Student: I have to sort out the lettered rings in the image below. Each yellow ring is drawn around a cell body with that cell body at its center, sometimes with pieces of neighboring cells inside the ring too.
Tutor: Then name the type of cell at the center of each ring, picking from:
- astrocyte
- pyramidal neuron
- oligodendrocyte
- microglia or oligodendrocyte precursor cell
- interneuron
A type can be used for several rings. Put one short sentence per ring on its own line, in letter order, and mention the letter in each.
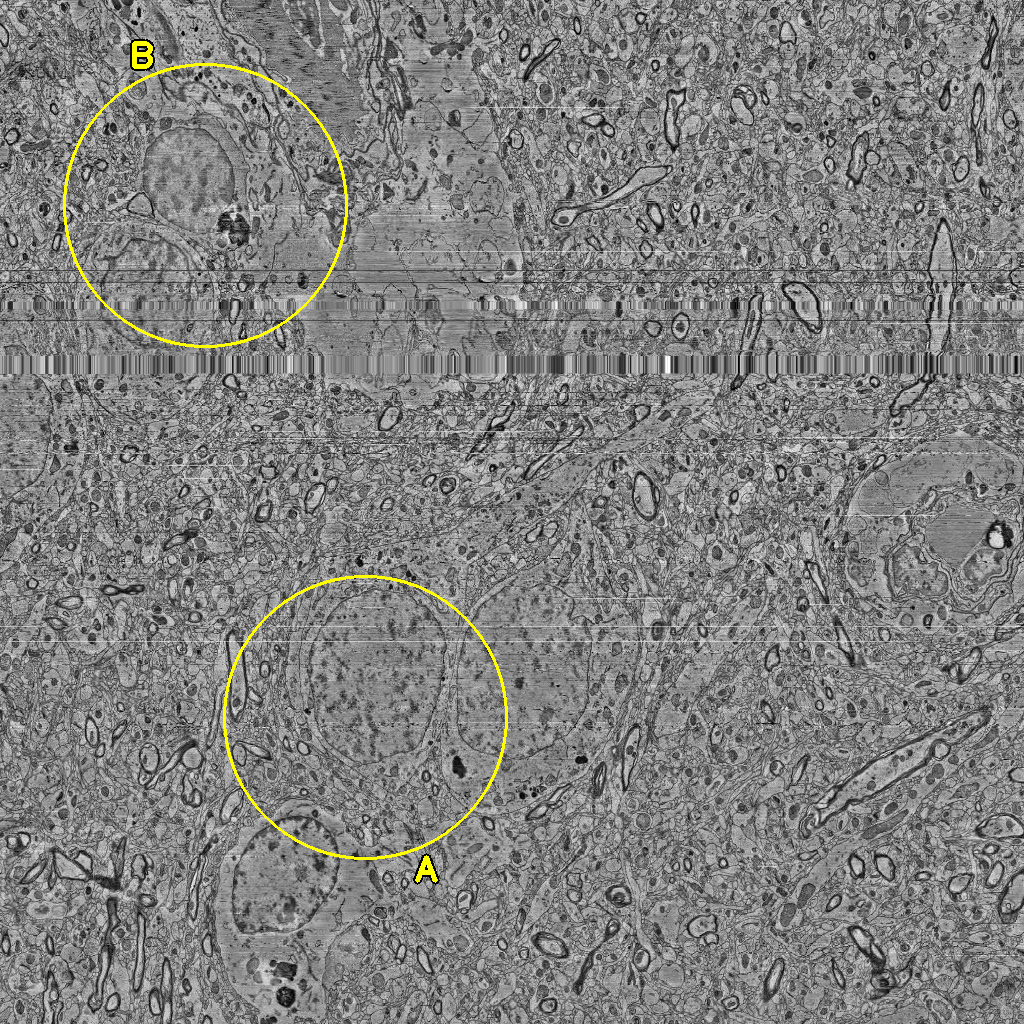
Inside ring A, at its center, is a pyramidal neuron.
Inside ring B, at its center, is an oligodendrocyte.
